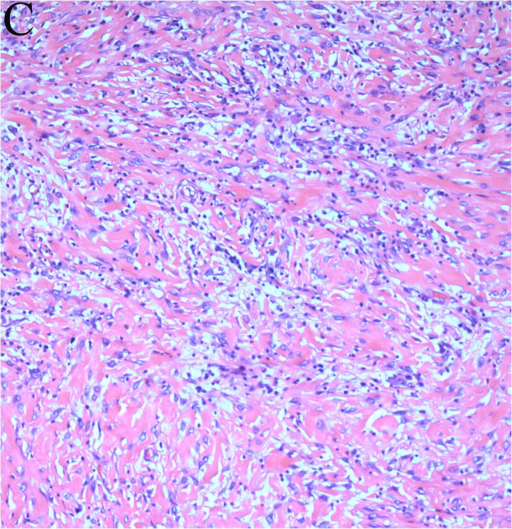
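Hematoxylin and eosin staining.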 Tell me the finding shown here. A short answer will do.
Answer: Myxoid and collagenous areas.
